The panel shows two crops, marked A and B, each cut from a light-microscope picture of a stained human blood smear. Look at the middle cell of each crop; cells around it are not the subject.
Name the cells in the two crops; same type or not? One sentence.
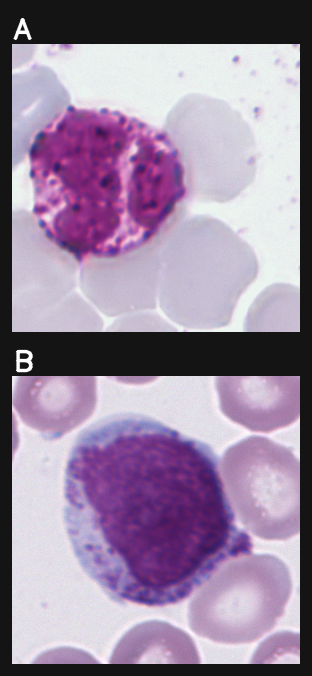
No, the middle of crop A holds a basophil, and the middle of crop B holds a promyelocyte.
